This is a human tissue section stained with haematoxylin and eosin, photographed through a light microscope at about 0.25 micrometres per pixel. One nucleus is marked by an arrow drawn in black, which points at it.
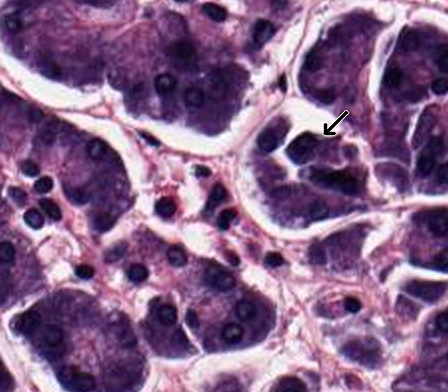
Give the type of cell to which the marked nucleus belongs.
pancreatic acinar cell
